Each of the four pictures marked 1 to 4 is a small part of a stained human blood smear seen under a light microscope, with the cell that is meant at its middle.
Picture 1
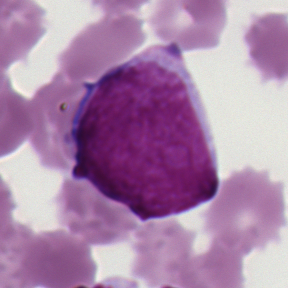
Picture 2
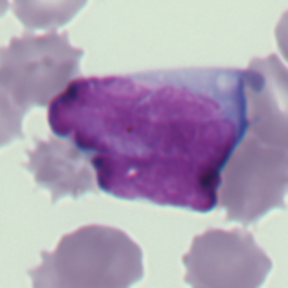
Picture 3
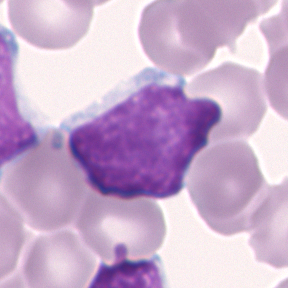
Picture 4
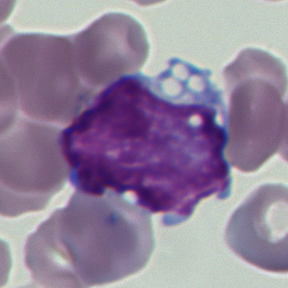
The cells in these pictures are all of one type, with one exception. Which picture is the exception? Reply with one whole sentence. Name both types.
All pictures except 3 show myeloblasts; picture 3 shows a typical lymphocyte.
